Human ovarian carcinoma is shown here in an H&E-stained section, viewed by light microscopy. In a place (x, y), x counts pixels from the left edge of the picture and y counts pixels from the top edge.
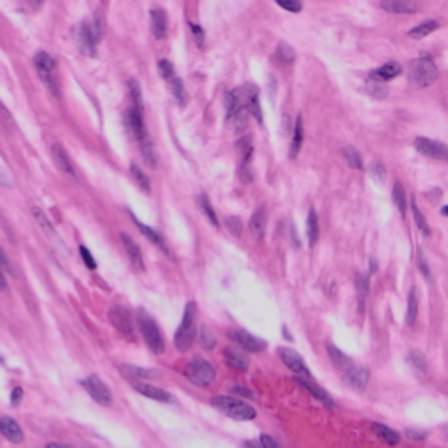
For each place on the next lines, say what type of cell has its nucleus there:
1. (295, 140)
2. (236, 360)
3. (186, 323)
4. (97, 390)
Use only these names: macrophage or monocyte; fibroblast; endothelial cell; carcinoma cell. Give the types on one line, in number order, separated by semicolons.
fibroblast; endothelial cell; fibroblast; fibroblast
